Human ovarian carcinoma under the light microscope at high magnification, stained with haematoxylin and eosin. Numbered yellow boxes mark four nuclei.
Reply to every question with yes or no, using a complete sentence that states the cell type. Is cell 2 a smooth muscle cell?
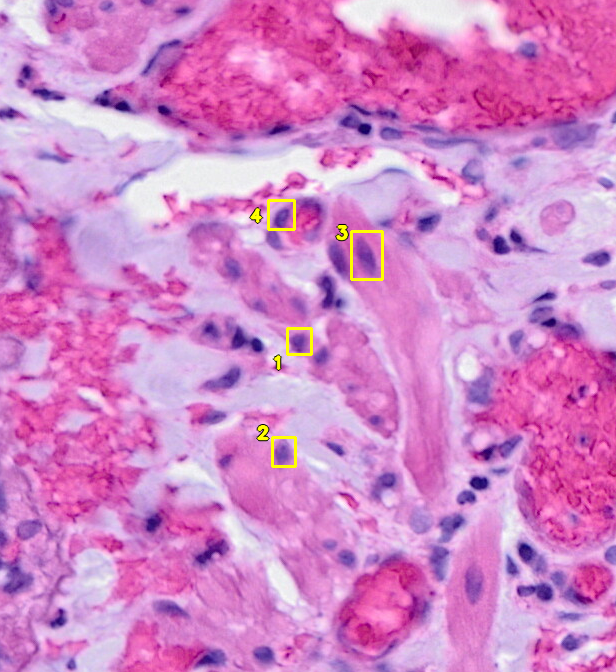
Yes, the cell bearing the number 2 is a smooth muscle cell.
